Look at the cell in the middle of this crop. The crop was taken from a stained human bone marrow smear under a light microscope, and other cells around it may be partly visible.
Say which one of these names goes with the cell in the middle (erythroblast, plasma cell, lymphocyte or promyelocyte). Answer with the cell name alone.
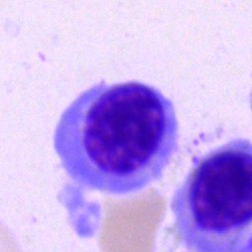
erythroblast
